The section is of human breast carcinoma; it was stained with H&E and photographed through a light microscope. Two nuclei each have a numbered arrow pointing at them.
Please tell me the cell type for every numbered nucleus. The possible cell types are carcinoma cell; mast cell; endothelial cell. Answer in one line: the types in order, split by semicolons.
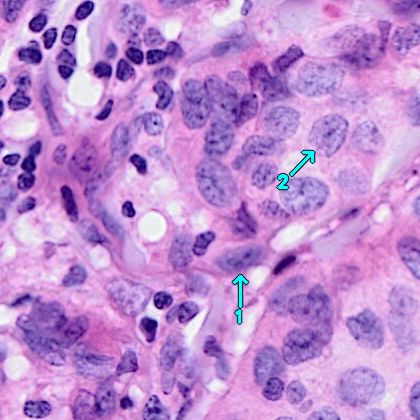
endothelial cell; carcinoma cell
